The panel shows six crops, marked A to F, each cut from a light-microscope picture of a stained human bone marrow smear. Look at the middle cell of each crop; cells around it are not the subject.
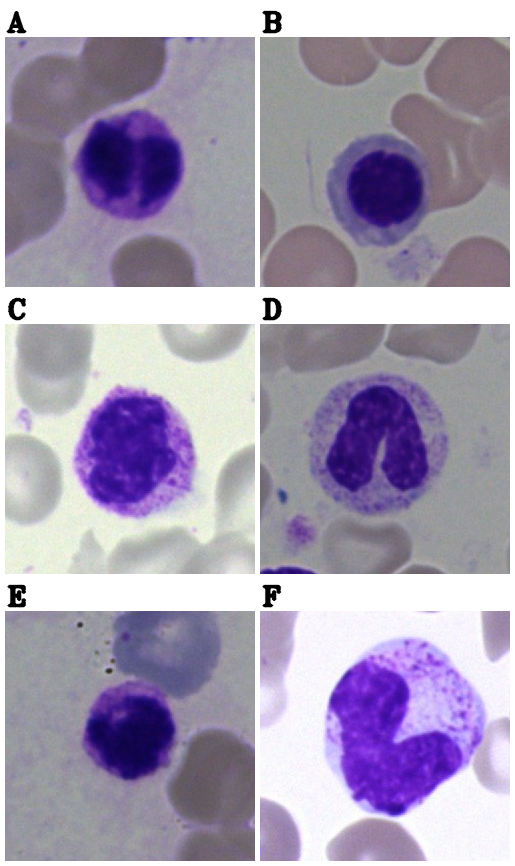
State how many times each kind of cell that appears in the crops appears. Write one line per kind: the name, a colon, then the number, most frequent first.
basophil: 3
band neutrophil: 2
erythroblast: 1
